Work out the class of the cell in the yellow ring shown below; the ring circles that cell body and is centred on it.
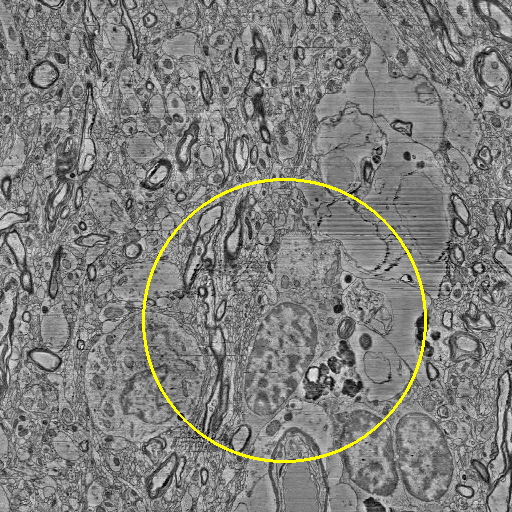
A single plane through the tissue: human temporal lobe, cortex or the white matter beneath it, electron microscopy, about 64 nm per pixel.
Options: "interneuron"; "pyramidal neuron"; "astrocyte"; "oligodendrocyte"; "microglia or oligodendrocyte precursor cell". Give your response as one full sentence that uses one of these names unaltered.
The body ringed in yellow, right at the ring's centre, is that of an oligodendrocyte.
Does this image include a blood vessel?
Yes, the picture includes a blood vessel.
